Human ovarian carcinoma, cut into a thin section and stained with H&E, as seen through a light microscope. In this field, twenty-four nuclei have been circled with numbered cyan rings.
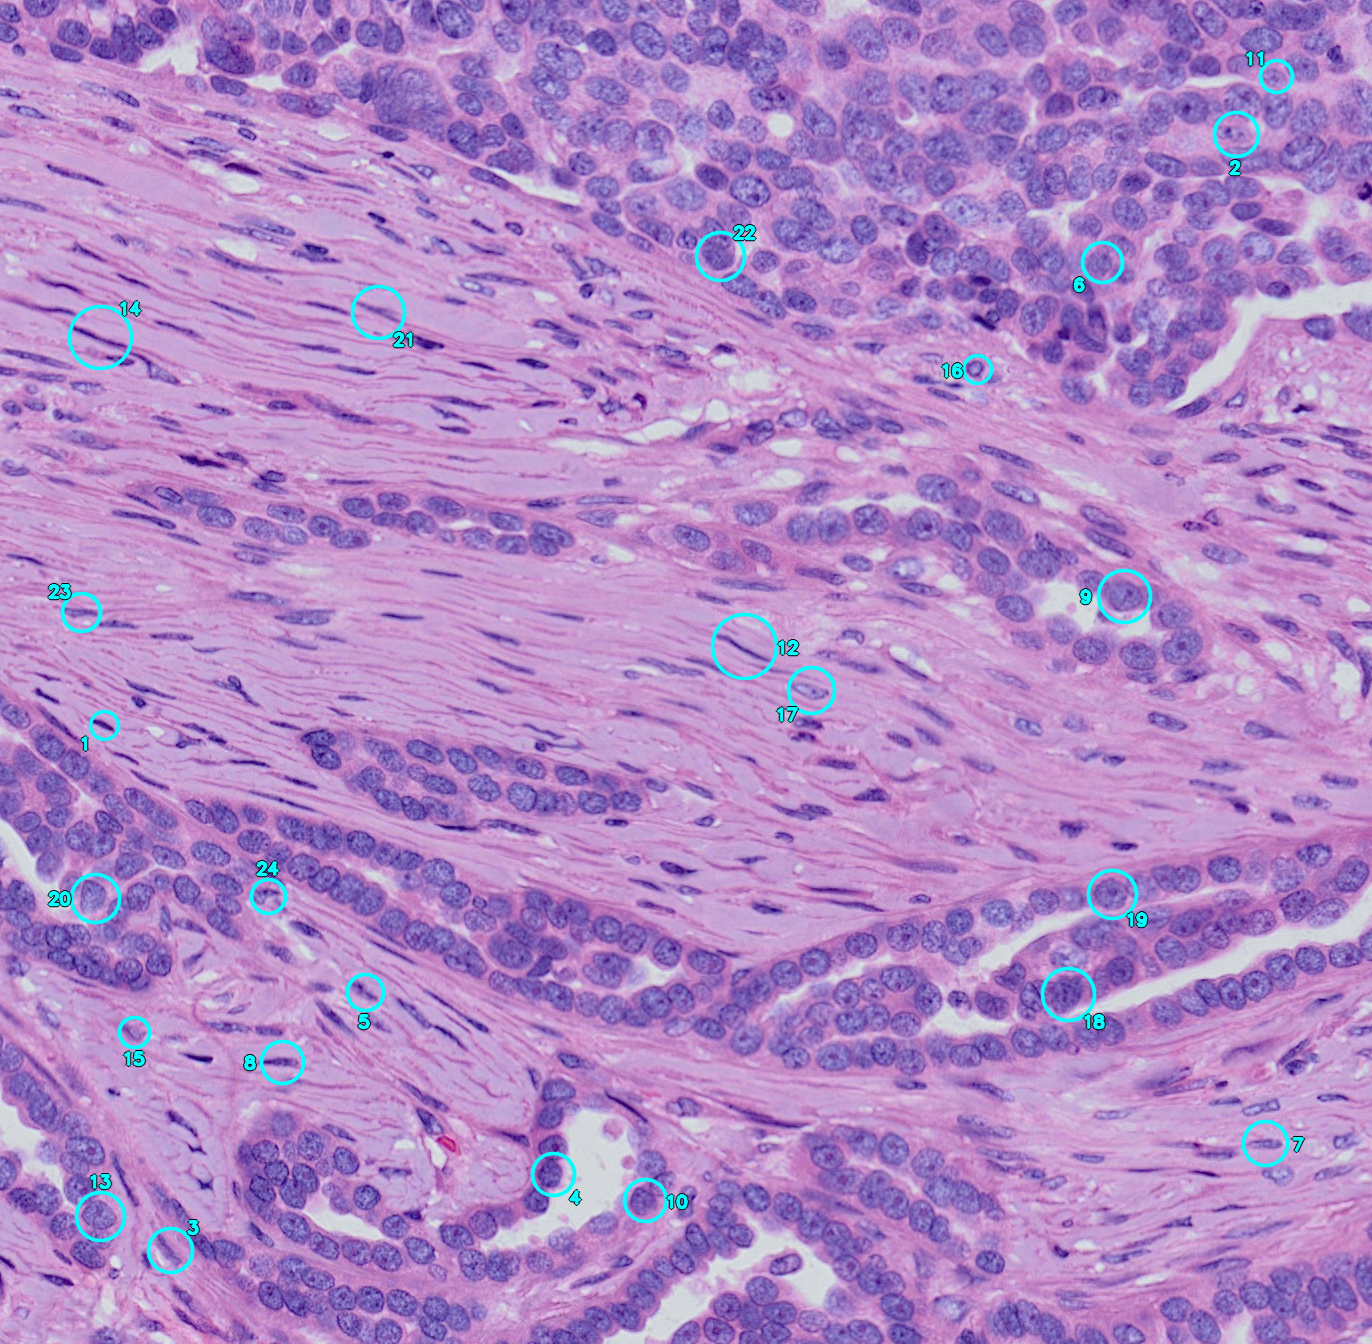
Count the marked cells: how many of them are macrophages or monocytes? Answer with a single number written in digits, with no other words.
1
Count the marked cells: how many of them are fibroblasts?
13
